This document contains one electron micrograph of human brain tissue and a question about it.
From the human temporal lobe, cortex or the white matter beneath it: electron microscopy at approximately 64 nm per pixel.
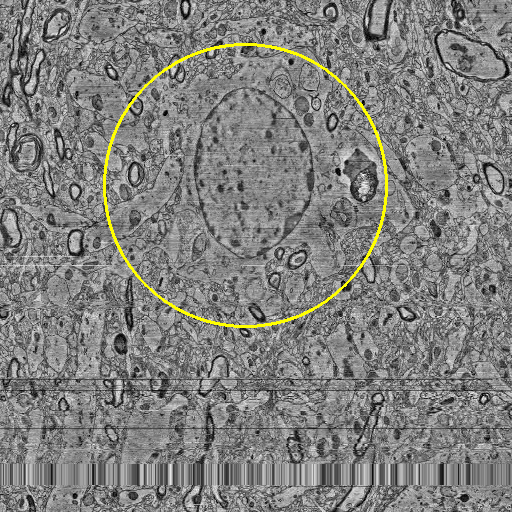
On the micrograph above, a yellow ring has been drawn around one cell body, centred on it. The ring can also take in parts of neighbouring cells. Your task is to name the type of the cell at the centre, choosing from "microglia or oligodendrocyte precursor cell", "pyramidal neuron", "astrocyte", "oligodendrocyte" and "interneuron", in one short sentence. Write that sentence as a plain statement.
Here the ring is centred on an astrocyte.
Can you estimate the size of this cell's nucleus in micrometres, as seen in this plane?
In this plane the nucleus is roughly 11 by 7 micrometres, clearly longer than it is wide.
